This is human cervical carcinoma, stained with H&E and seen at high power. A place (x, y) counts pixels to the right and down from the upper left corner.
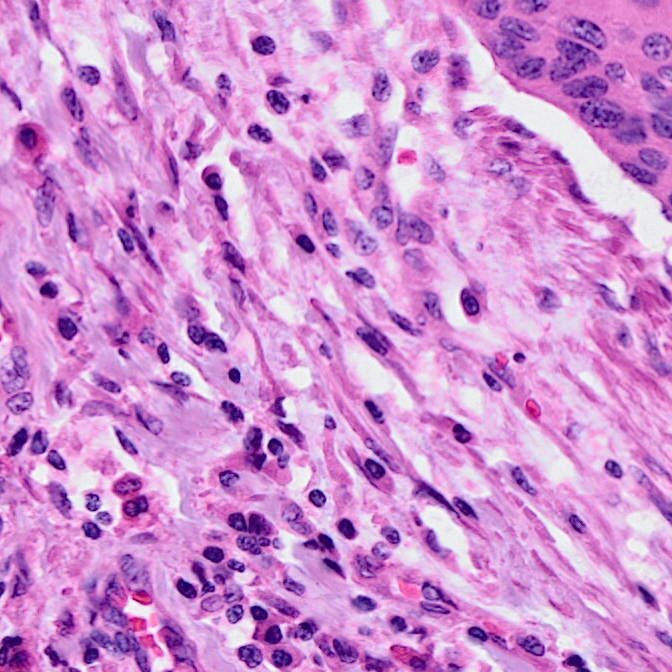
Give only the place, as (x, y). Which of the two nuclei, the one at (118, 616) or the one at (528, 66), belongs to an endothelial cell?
(118, 616)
